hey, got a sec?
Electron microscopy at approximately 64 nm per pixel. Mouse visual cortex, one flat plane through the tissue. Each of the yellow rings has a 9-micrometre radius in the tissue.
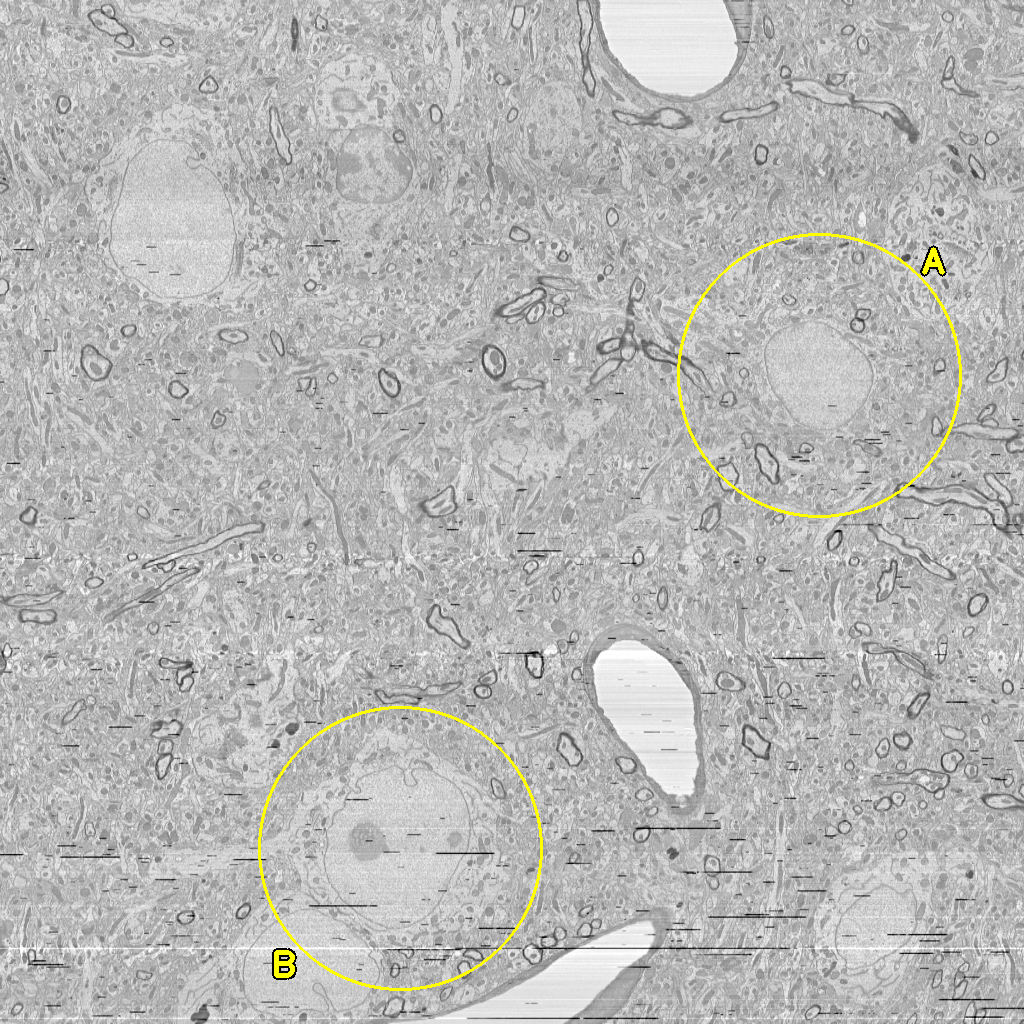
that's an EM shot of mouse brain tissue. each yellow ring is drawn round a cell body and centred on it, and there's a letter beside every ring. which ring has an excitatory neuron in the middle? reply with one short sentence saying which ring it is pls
Ring B is the one centred on it.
